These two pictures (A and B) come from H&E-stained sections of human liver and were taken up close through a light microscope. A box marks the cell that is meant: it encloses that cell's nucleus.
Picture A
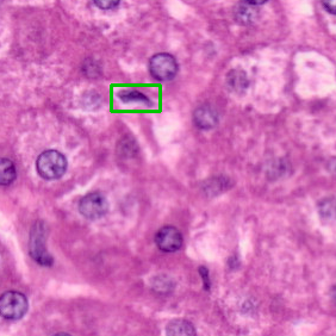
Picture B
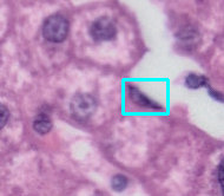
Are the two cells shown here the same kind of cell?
yes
